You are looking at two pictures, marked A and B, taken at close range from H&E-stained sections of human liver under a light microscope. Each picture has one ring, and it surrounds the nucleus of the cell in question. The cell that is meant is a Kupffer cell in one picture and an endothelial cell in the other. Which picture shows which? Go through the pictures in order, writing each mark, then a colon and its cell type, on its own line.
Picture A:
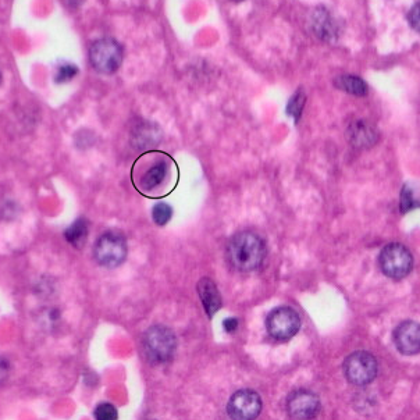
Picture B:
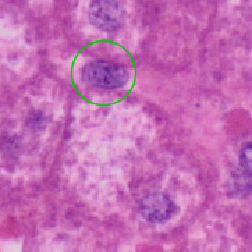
A: Kupffer cell
B: endothelial cell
